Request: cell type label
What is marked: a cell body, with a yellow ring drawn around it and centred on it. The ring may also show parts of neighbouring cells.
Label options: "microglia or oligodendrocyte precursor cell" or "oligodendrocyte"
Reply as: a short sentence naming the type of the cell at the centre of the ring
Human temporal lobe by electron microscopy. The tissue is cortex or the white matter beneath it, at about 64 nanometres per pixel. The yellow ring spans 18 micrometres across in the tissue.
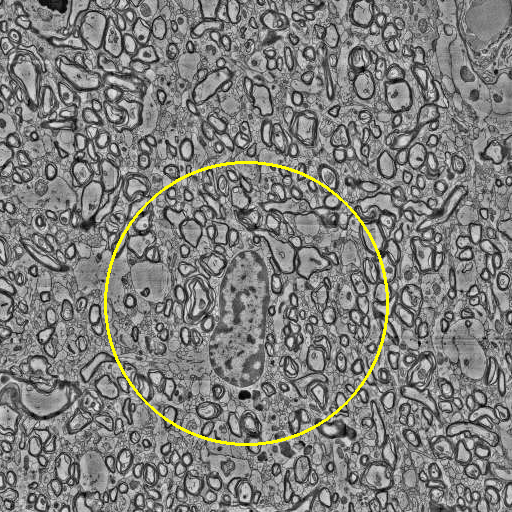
The marked cell body is that of a microglial cell or oligodendrocyte precursor cell.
